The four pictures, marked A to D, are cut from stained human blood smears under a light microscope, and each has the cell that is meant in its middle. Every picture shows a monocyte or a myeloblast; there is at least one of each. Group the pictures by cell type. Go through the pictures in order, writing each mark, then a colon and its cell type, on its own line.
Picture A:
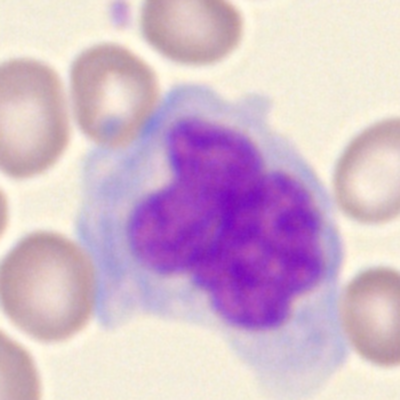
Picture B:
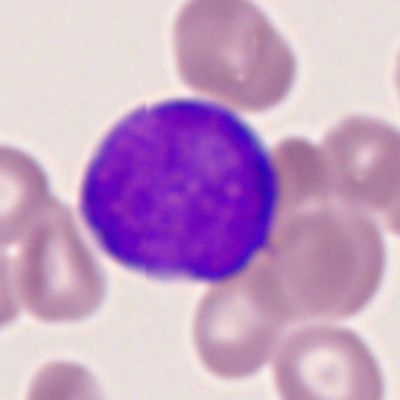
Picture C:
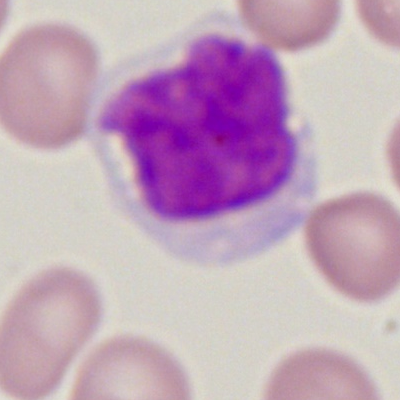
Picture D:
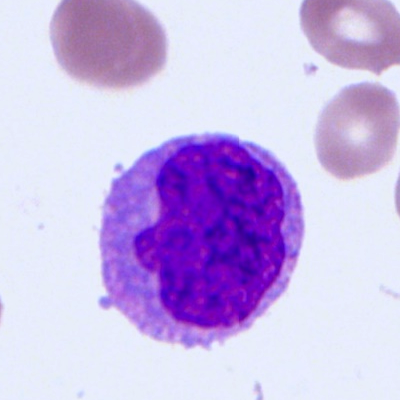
A: monocyte
B: myeloblast
C: monocyte
D: monocyte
